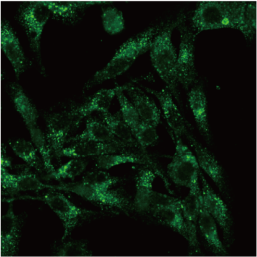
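Cultured cells with elongated and spindle-like shapes are crowded together, their cytoplasm dotted with small green fluorescent vesicles. The dots are fine and spread through the cytoplasm, with rounded dark unlabelled areas where the nuclei lie.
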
